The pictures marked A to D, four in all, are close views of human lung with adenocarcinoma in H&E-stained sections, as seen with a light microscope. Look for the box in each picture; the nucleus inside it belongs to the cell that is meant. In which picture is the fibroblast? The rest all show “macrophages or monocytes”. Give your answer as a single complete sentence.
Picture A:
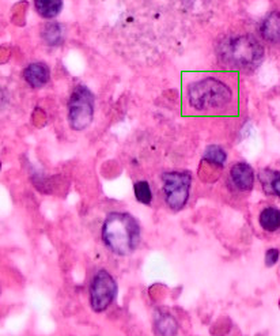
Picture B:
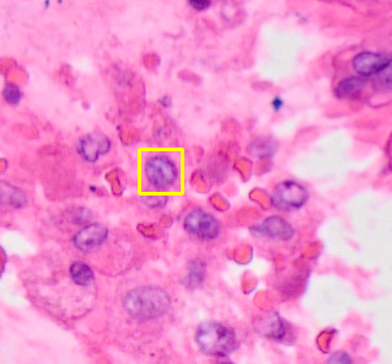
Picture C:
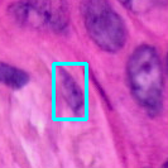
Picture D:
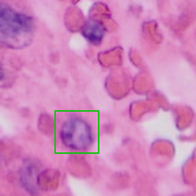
It is picture C that shows the fibroblast.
